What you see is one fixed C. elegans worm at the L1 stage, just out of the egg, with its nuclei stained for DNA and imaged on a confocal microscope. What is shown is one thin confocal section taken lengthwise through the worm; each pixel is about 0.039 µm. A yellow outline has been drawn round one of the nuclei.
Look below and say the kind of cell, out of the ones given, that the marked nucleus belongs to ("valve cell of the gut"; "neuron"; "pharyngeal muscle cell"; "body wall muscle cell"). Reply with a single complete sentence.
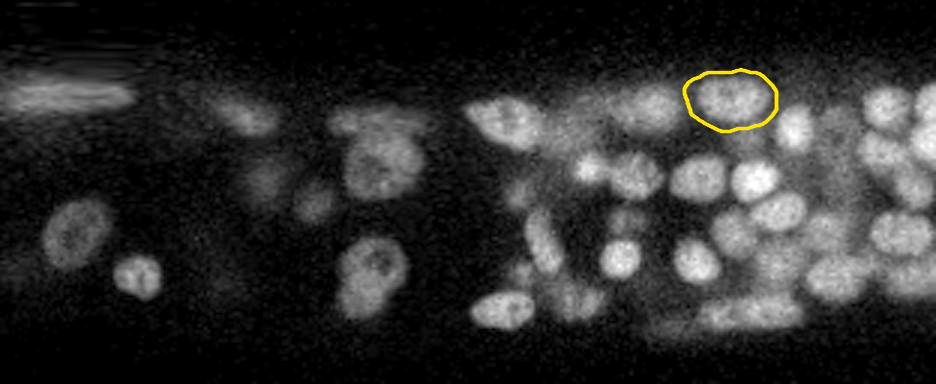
The marked cell is a body wall muscle cell.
